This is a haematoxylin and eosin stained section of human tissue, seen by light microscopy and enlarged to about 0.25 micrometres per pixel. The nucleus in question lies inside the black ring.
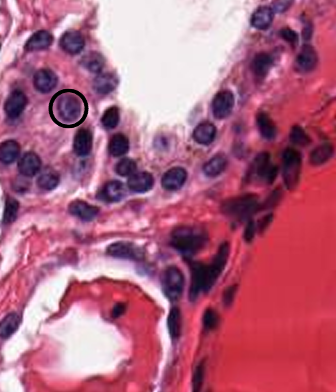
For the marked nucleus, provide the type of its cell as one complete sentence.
It is a thyroid follicular cell that the marked nucleus belongs to.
